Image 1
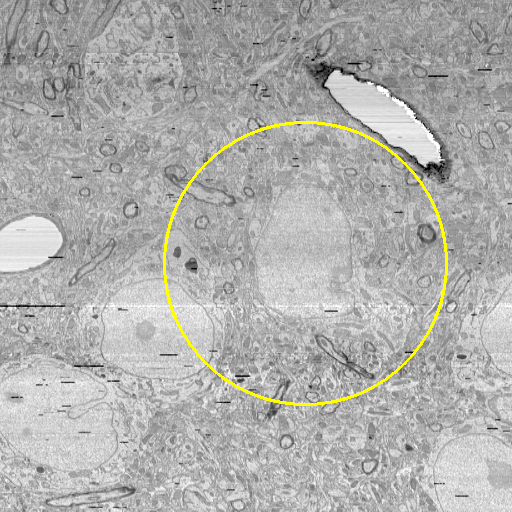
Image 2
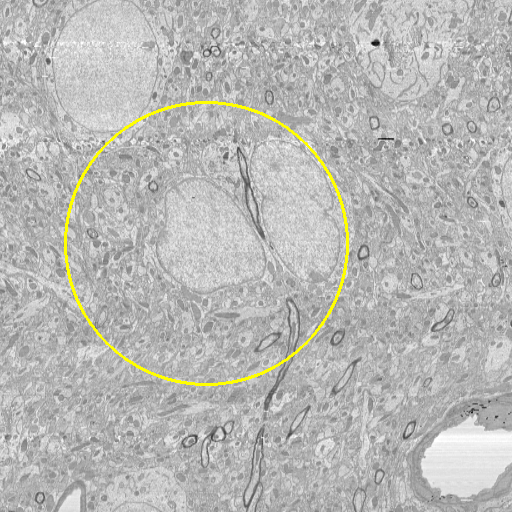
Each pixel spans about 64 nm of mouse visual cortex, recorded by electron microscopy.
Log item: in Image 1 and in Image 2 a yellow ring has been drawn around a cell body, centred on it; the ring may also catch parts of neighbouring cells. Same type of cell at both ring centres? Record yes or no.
yes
